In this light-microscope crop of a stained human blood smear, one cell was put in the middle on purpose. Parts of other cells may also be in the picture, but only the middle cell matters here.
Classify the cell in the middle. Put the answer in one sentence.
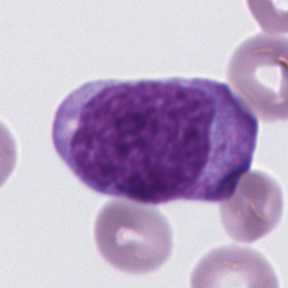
The centered cell in this crop is an atypical promyelocyte.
